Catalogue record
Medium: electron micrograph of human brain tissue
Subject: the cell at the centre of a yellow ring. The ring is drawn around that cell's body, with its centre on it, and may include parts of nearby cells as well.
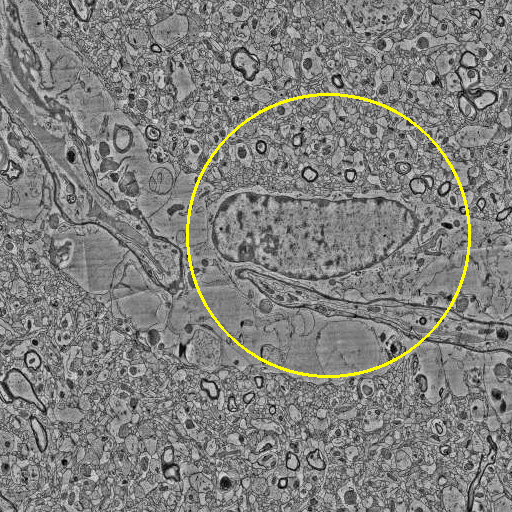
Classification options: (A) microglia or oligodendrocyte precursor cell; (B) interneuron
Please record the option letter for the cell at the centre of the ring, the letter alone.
A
